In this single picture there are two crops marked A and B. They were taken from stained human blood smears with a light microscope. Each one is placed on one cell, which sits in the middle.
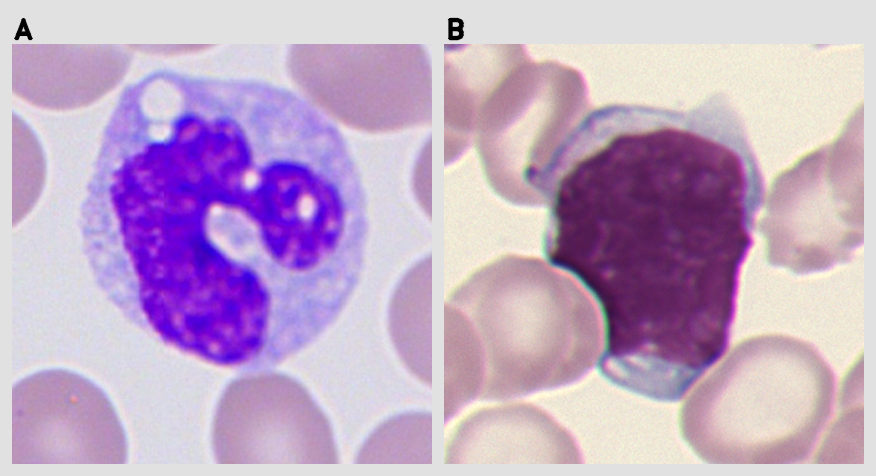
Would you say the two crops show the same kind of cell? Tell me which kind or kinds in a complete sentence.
No, the cell shown in crop A is a monocyte, and the cell shown in crop B is a lymphocyte.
